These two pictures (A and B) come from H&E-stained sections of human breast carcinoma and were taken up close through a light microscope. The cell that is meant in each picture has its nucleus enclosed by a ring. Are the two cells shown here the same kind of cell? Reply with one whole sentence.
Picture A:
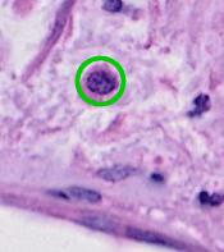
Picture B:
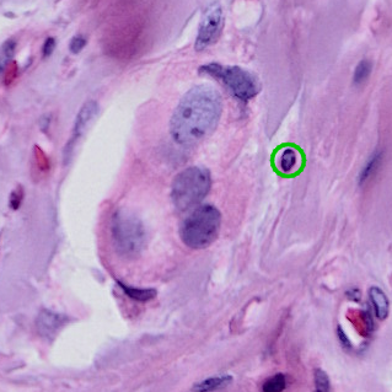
Yes, they are the same type: both are mast cells.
